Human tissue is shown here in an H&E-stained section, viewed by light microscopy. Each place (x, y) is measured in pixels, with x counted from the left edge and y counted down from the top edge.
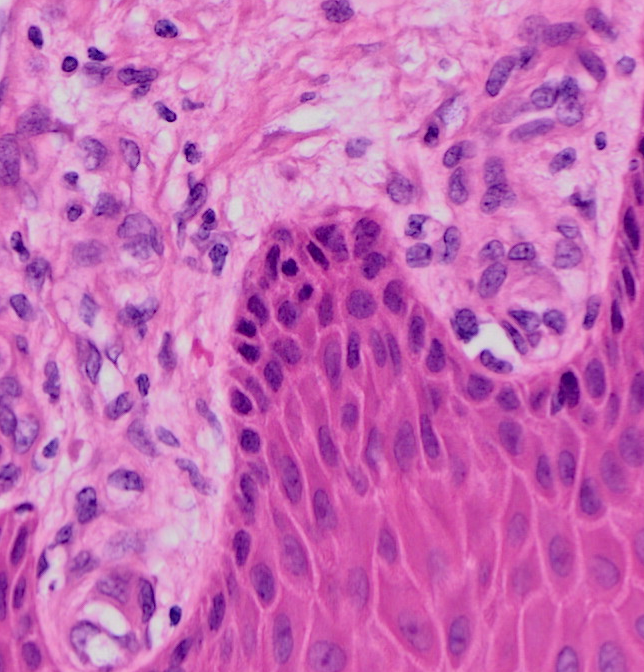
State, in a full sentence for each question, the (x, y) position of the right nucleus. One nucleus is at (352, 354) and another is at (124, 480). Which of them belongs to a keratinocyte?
Out of the two, it is the nucleus at (352, 354) that belongs to a keratinocyte.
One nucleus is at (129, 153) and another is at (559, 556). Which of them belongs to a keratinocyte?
So, of the two, the nucleus at (559, 556) is the one belonging to a keratinocyte.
